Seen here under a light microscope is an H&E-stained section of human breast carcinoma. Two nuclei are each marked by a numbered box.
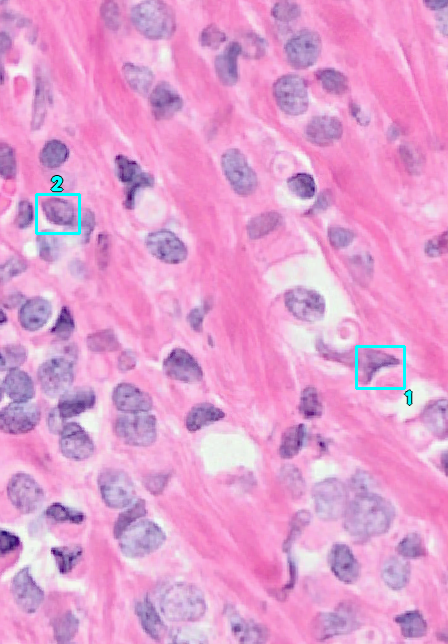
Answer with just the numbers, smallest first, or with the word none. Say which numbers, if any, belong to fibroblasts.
1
